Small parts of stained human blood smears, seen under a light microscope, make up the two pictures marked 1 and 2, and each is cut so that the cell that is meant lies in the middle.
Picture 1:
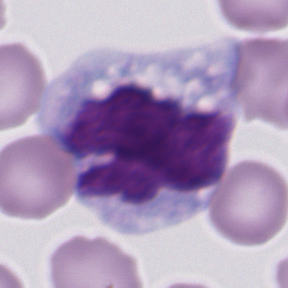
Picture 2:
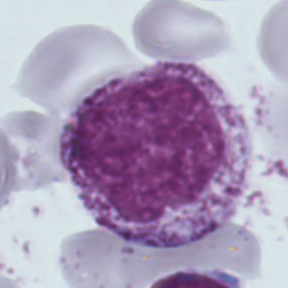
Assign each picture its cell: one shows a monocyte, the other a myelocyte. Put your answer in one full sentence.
The cell in picture 1 is a monocyte, and the one in picture 2 is a myelocyte.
